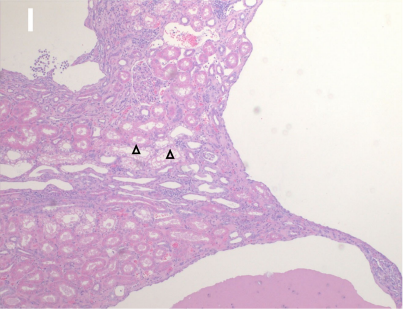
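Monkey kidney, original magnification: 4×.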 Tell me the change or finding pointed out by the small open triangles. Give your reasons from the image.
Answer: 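Tubular dilation. Tubules near the triangles have widened, open lumens.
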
